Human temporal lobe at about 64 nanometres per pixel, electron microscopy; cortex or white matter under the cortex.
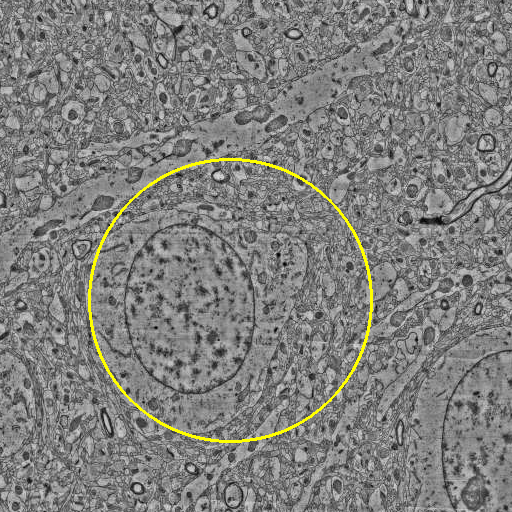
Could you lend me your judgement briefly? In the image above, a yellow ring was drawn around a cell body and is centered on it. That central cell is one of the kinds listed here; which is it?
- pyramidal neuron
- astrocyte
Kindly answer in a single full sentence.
Going by the list, a pyramidal neuron is the kind at the ring's center in the picture.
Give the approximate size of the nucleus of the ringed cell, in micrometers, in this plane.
In this plane the nucleus measures roughly 11 by 8 micrometres.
